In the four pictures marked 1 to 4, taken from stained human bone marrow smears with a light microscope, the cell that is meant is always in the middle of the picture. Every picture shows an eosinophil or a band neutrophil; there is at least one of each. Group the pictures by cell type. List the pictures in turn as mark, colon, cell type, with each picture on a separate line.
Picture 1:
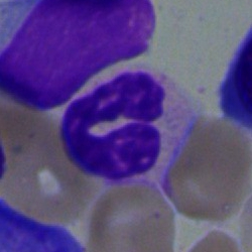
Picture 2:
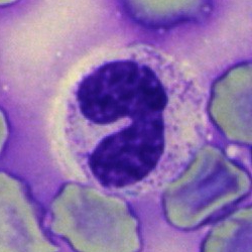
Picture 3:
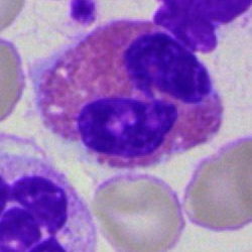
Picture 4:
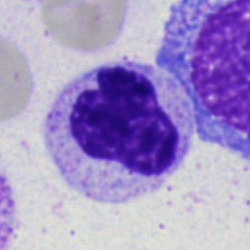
1: band neutrophil
2: band neutrophil
3: eosinophil
4: band neutrophil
